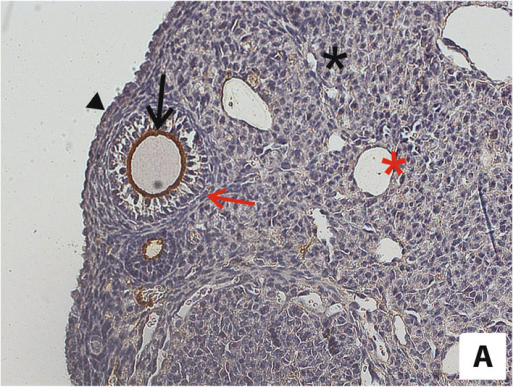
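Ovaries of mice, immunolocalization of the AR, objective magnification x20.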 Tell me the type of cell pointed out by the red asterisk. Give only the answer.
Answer: Endothelial cells.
